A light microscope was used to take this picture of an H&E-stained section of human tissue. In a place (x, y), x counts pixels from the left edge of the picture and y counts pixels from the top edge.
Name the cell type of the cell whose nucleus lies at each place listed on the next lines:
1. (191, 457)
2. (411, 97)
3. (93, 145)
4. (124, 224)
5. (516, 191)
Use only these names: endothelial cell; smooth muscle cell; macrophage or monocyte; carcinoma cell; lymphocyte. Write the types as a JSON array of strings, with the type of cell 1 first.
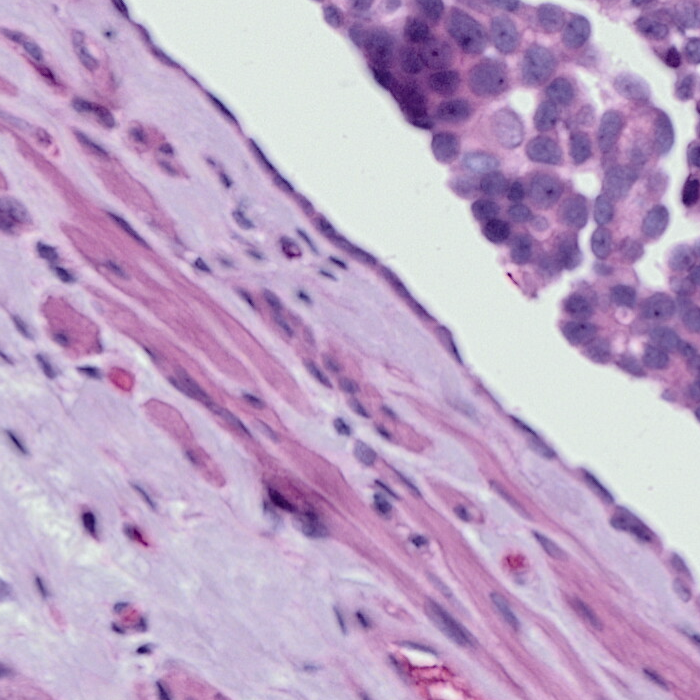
["smooth muscle cell", "carcinoma cell", "smooth muscle cell", "smooth muscle cell", "carcinoma cell"]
